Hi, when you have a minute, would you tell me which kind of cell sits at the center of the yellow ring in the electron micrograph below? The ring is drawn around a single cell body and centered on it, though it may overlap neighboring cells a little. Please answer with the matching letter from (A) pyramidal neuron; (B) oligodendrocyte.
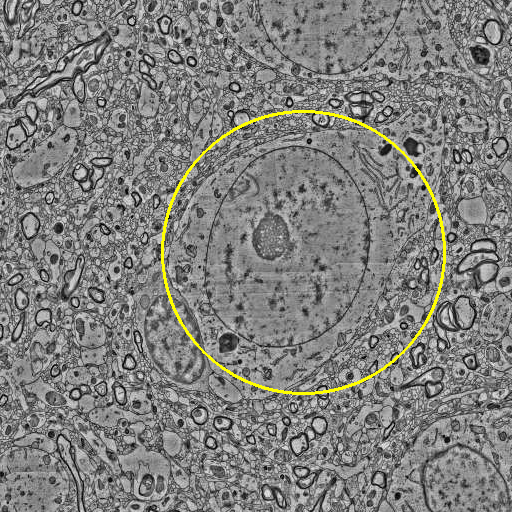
A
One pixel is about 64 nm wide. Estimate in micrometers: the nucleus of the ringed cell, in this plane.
Roughly 13 by 10 micrometres in this plane, for the nucleus of the ringed cell.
